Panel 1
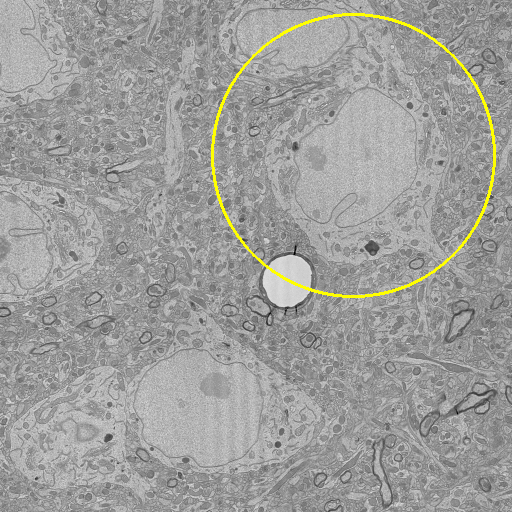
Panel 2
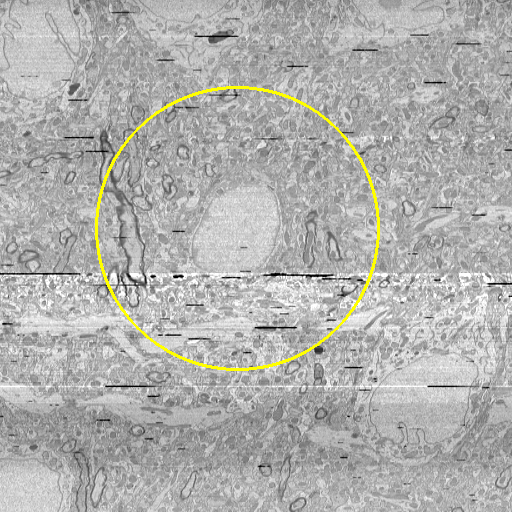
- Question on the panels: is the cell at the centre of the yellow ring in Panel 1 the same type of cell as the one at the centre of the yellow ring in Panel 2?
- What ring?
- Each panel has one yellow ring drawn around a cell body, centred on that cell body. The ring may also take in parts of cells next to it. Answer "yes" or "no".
no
